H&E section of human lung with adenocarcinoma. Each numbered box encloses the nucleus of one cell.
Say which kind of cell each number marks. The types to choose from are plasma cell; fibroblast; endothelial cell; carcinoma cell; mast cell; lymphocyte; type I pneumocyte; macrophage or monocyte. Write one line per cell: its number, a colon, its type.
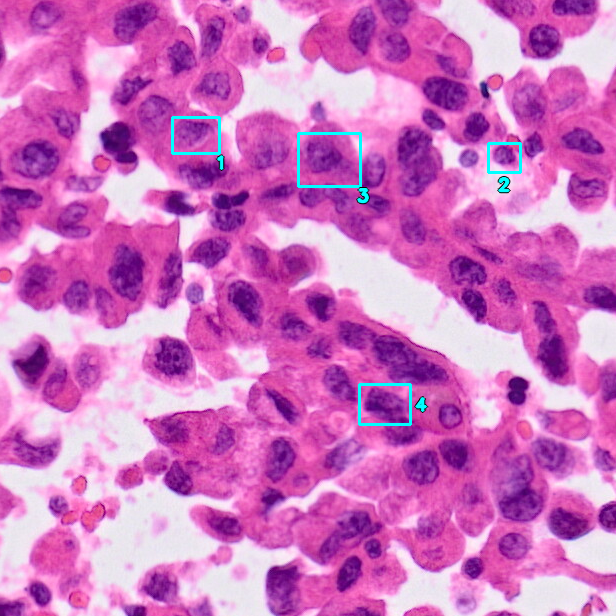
1: carcinoma cell
2: lymphocyte
3: carcinoma cell
4: carcinoma cell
